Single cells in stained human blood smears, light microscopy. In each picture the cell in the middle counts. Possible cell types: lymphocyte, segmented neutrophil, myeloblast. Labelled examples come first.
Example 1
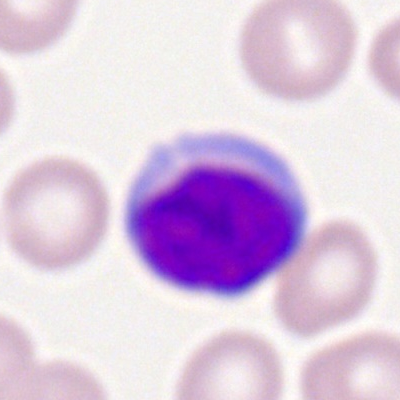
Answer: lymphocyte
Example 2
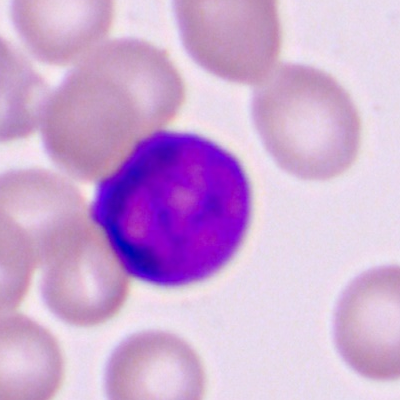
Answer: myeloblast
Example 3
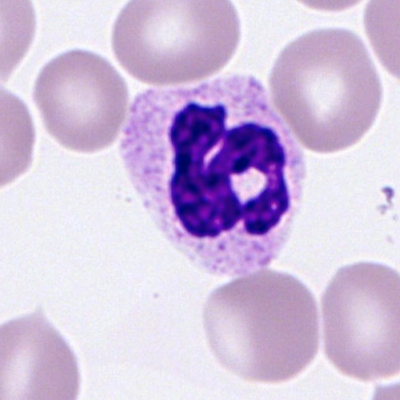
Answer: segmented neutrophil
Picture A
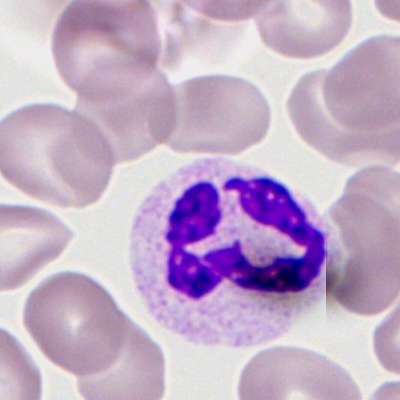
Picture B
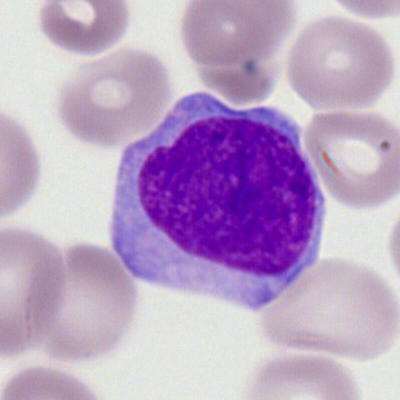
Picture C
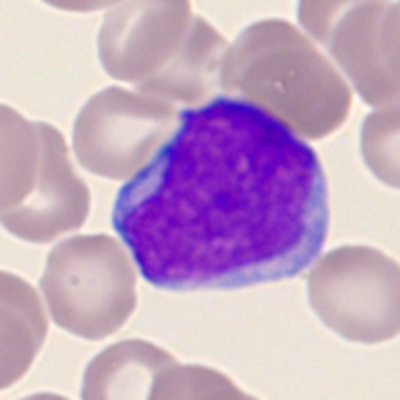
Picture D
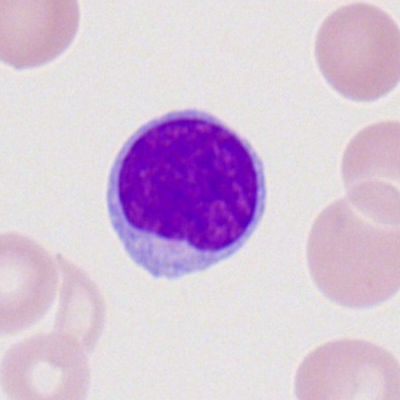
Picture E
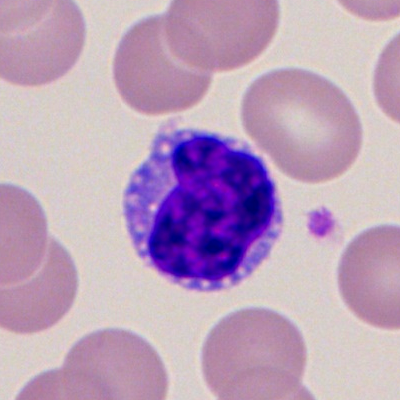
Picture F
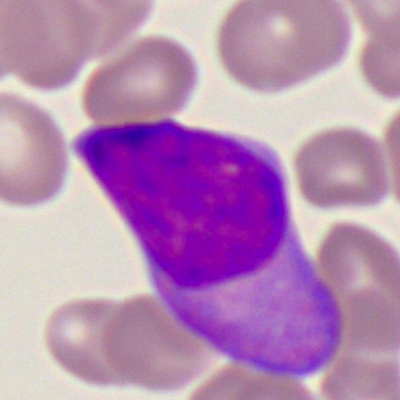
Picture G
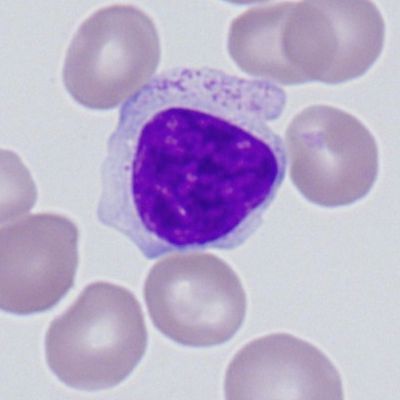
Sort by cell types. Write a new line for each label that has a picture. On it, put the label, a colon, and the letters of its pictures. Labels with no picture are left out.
lymphocyte: D, E, G
segmented neutrophil: A
myeloblast: B, C, F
